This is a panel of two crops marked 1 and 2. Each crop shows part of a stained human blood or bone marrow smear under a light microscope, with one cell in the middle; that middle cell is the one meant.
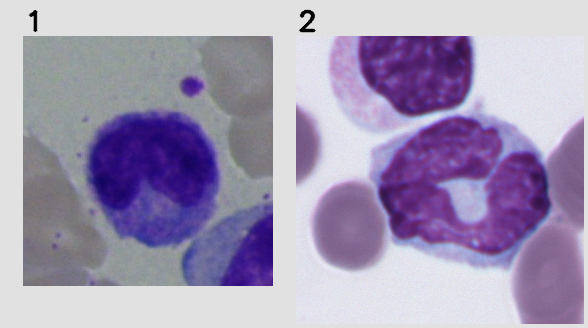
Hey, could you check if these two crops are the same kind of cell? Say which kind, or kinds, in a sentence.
Yes, the first and the second crop both show monocytes.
